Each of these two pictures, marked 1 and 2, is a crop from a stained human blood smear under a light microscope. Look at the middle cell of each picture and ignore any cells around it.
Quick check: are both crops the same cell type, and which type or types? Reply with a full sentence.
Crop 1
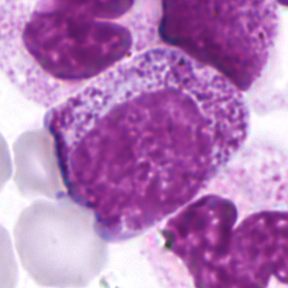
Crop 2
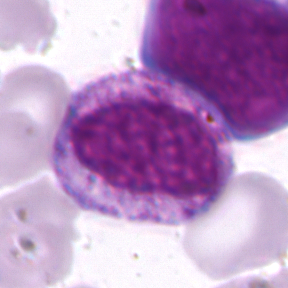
Yes, the central cells, in both crops, are myelocytes.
